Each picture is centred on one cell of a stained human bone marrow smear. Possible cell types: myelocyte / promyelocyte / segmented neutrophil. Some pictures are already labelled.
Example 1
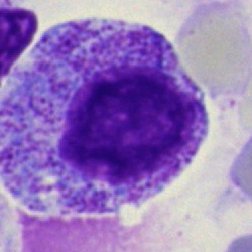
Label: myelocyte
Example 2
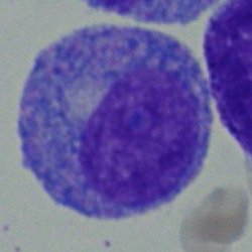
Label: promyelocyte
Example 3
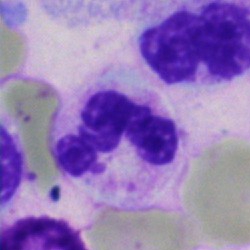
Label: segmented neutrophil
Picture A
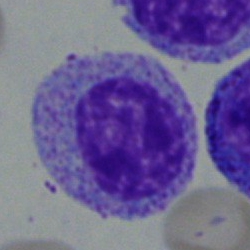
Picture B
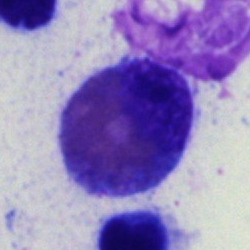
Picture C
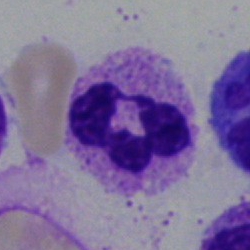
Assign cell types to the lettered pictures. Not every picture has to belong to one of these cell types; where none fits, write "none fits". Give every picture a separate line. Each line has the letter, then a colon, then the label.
A: myelocyte
B: none fits
C: segmented neutrophil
